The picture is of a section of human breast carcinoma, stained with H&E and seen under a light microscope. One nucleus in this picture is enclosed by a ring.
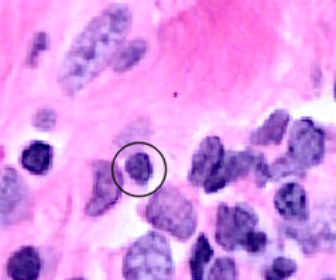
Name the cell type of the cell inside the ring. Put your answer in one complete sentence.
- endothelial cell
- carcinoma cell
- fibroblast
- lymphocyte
By cell type, the cell inside the ring is a lymphocyte.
